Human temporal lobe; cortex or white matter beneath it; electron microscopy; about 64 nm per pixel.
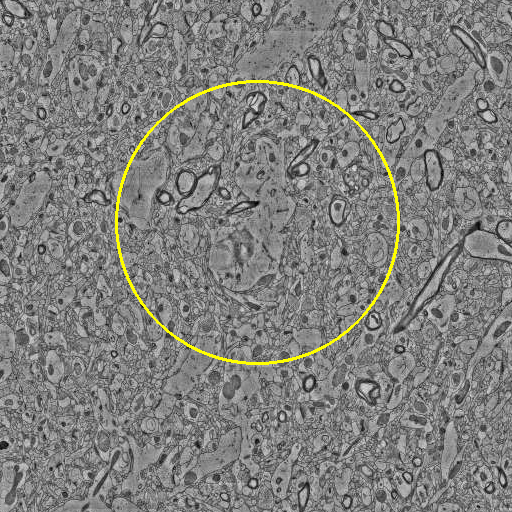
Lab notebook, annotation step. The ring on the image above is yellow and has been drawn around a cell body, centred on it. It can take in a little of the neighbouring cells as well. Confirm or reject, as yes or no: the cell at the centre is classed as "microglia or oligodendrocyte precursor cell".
No, the cell is of another class.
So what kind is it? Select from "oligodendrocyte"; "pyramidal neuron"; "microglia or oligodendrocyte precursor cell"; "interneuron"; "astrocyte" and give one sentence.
In this picture, the ring is centred on an astrocyte.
